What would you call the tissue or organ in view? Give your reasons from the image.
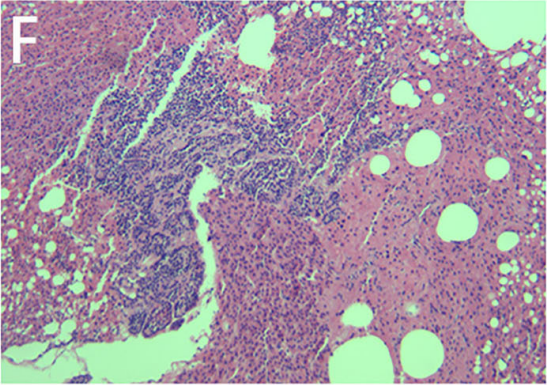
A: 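Sheets and cords of small epithelial cells with round nuclei. Scattered clear round fat spaces among the epithelial cells. Areas of cells with pink cytoplasm beside areas of densely packed purple nuclei. So: parathyroid gland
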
